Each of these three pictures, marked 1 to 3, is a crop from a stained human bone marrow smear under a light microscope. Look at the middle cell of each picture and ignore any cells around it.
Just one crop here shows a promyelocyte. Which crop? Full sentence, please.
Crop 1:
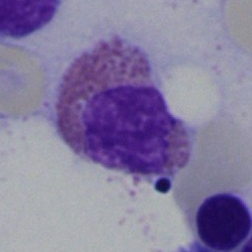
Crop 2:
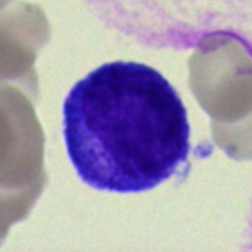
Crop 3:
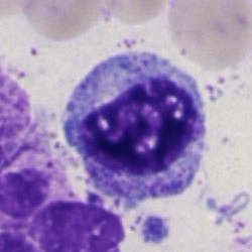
The one crop that shows a promyelocyte is crop 2.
